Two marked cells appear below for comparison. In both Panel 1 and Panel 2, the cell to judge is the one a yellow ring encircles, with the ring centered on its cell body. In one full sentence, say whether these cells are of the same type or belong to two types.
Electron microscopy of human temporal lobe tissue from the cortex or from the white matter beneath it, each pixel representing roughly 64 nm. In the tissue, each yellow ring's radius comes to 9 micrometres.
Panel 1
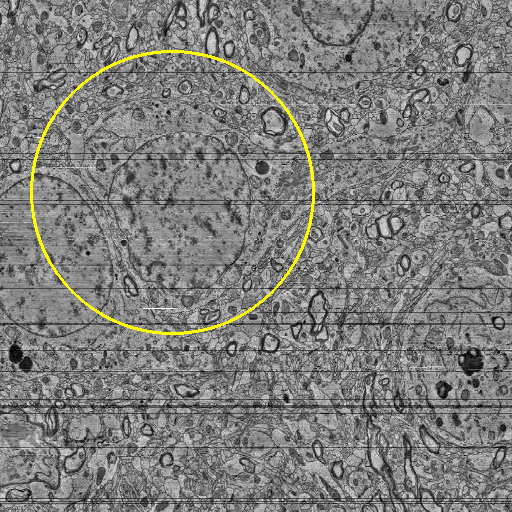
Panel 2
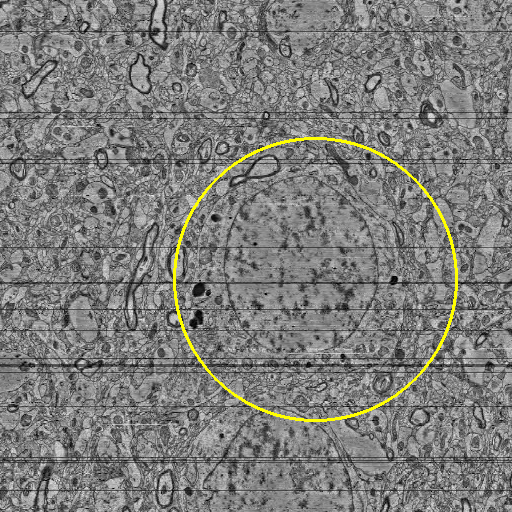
The cell centered in the Panel 1 ring and the one in Panel 2 are of the same type.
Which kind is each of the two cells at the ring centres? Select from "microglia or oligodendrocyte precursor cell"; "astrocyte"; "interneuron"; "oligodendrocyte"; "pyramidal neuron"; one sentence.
Each cell at the centre of a ring is a pyramidal neuron.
